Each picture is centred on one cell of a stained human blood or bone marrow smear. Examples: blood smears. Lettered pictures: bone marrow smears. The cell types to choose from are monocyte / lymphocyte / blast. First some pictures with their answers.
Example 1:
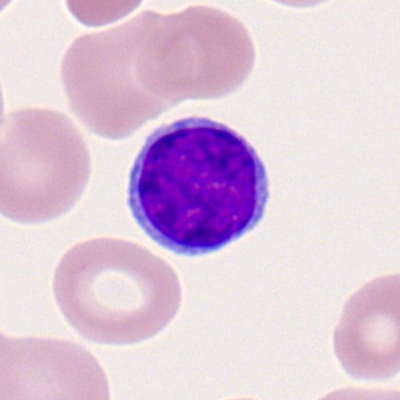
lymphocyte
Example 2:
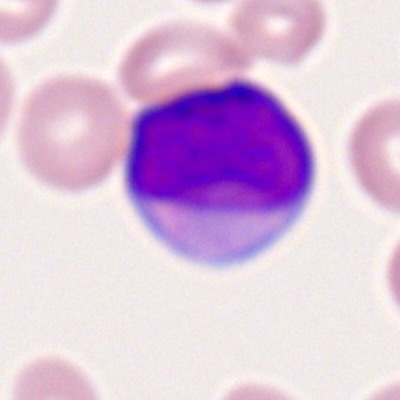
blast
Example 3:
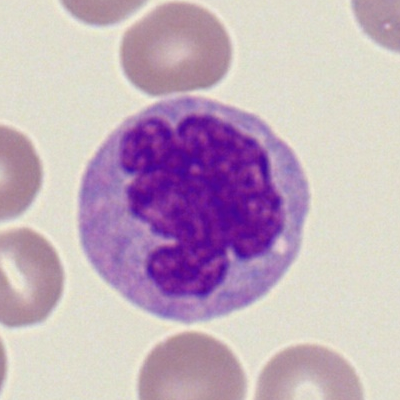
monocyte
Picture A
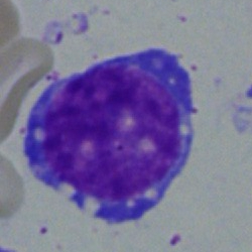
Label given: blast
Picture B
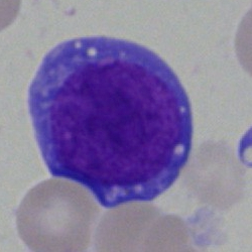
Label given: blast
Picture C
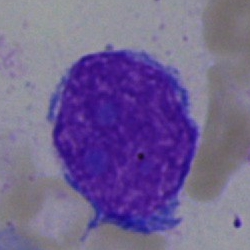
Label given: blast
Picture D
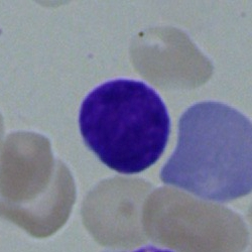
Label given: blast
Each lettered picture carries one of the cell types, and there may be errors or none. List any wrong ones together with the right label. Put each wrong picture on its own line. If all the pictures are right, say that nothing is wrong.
D is labelled blast; correct label: lymphocyte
